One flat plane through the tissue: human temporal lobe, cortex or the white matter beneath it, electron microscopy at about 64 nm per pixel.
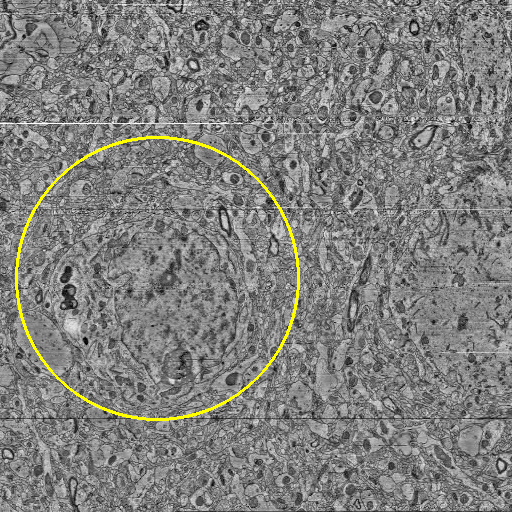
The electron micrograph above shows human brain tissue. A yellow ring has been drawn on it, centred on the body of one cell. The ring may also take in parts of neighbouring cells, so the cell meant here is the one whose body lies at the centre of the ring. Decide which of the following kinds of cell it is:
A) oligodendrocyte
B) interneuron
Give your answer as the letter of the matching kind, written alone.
B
